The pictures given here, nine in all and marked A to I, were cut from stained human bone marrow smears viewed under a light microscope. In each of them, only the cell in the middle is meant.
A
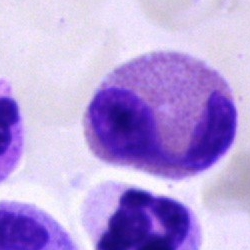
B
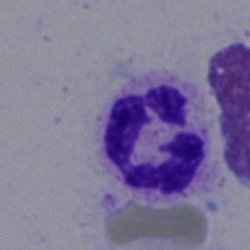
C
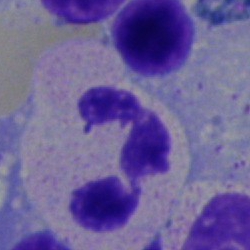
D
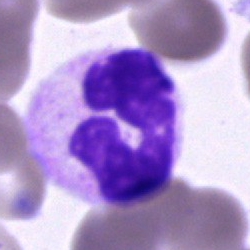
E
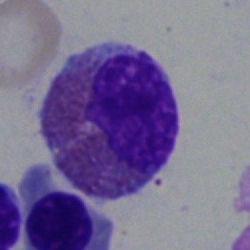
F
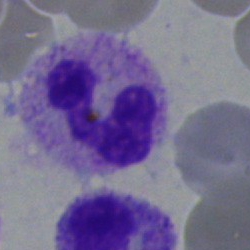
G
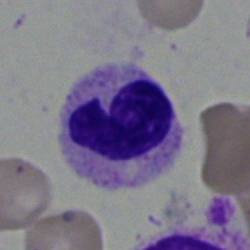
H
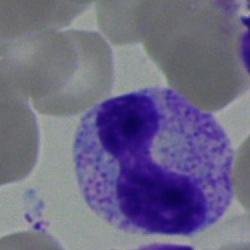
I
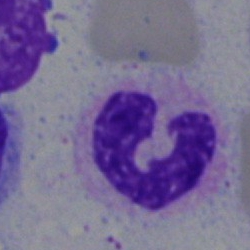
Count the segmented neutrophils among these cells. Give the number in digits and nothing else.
4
